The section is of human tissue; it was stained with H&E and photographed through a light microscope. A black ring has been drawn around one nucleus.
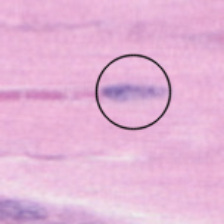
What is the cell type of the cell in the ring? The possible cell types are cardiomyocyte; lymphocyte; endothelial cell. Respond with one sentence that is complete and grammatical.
As far as its identity is concerned, the cell in the ring is an endothelial cell.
